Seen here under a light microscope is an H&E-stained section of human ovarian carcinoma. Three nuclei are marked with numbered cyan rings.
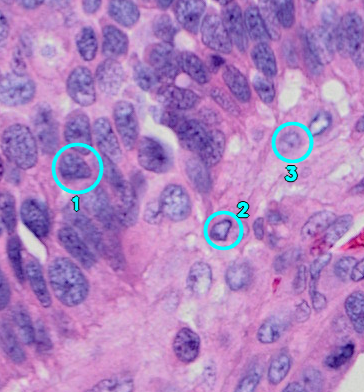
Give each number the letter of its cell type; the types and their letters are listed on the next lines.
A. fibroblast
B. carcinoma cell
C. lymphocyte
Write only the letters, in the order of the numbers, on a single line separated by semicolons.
B; A; A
